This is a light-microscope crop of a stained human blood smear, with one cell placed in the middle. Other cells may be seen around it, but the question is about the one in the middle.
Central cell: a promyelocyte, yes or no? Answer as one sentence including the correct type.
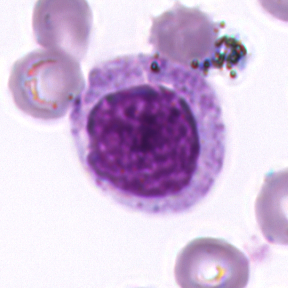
No, the central cell is not a promyelocyte; it is a myelocyte.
